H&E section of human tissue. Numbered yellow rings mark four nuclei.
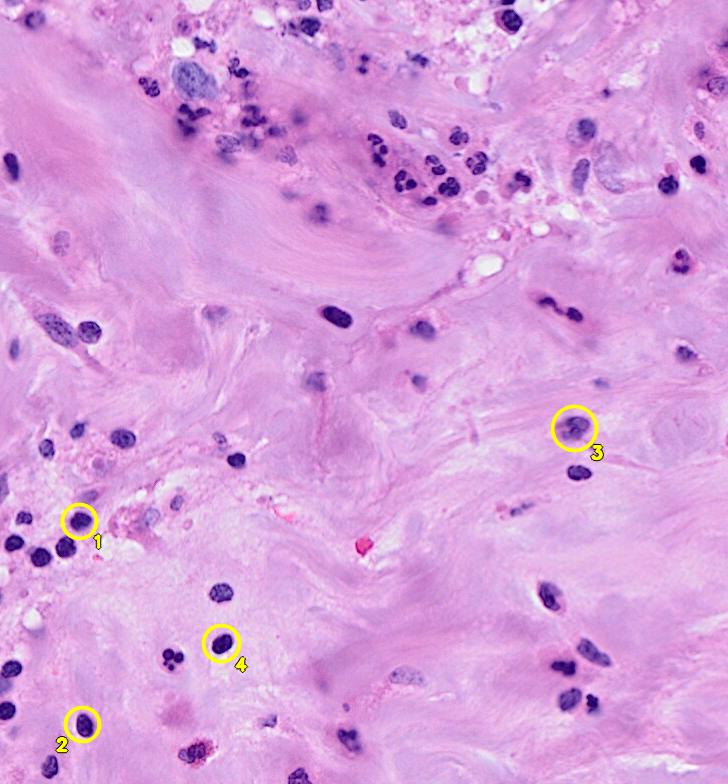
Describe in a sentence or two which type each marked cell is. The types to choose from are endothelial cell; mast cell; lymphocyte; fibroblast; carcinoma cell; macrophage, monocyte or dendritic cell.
Cell 1 is a lymphocyte, cell 2 is a lymphocyte, cell 3 is a macrophage, monocyte or dendritic cell and cell 4 is a lymphocyte.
